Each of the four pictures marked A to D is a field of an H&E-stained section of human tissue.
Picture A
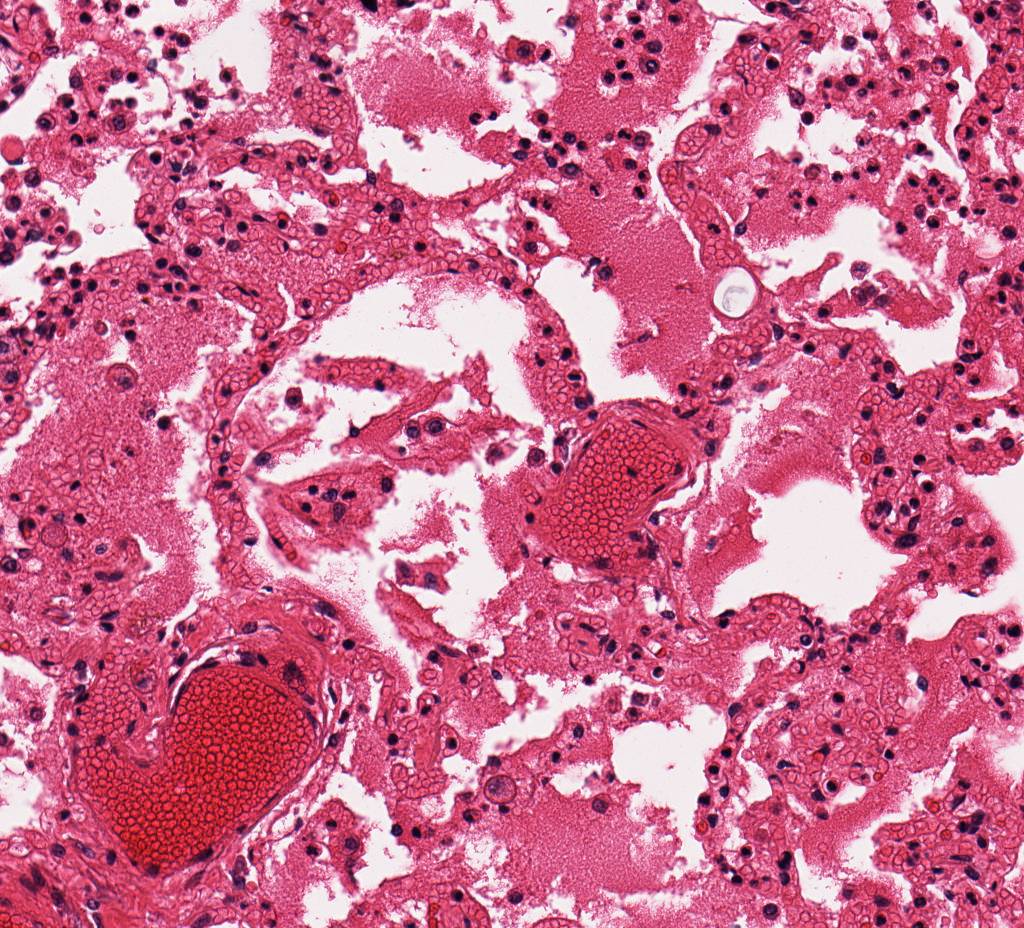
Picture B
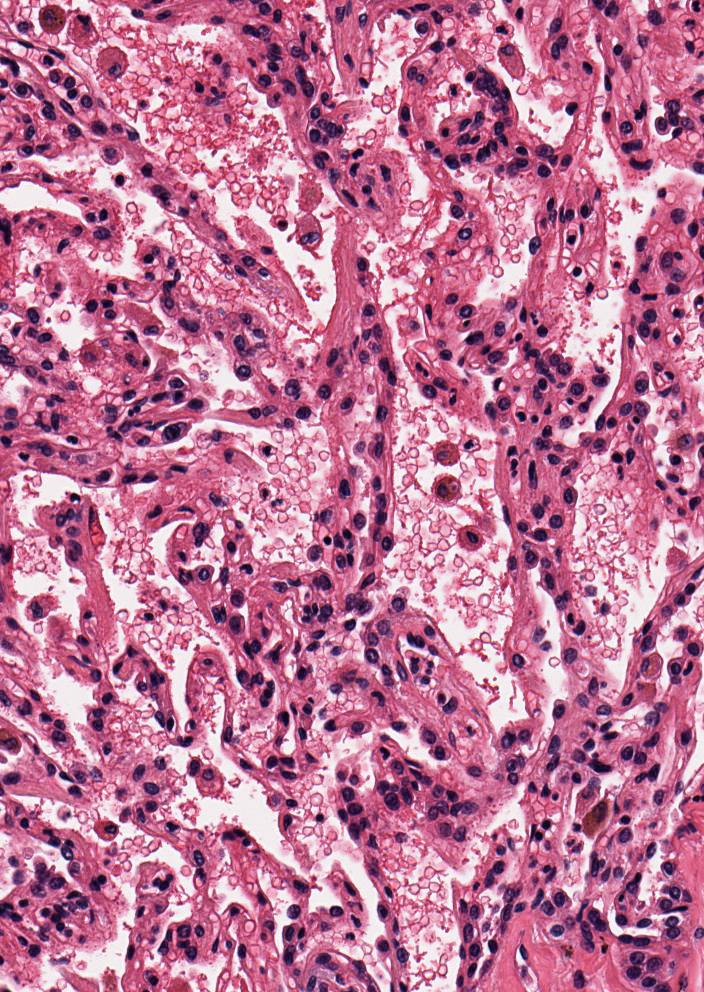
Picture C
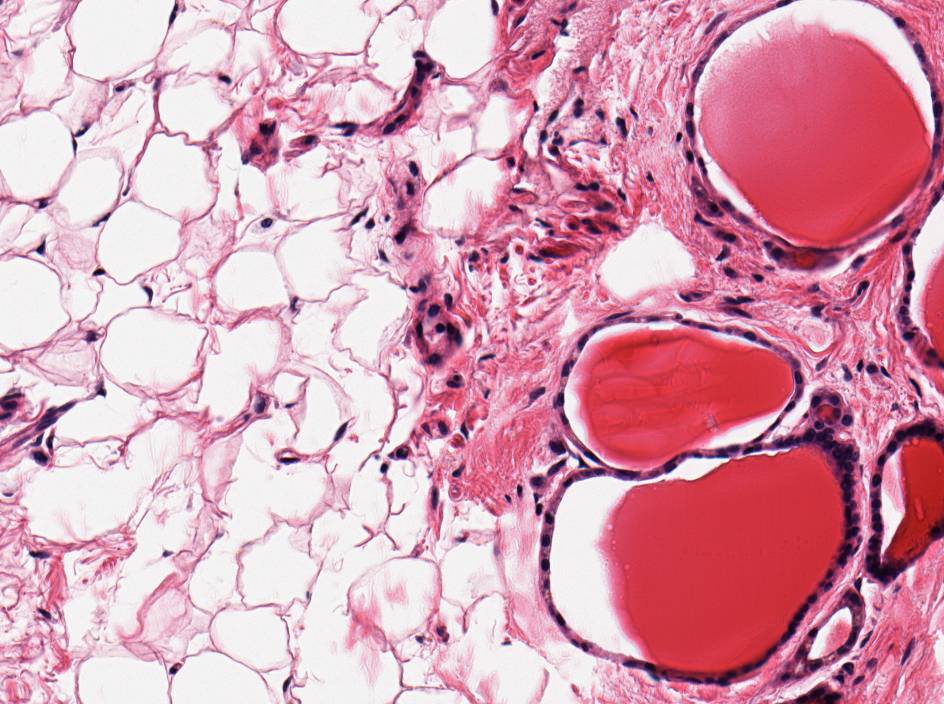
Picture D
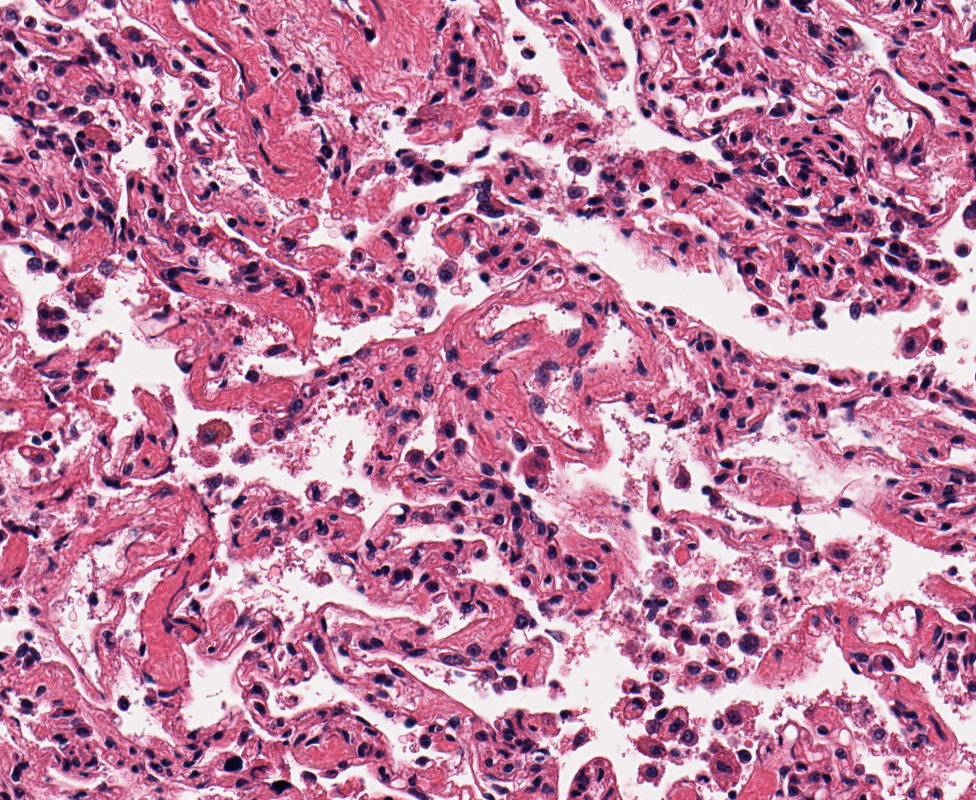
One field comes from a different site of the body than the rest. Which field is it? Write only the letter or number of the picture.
C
